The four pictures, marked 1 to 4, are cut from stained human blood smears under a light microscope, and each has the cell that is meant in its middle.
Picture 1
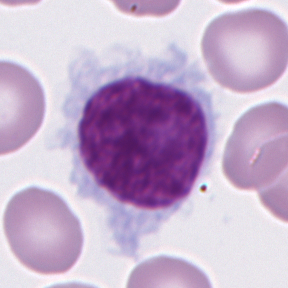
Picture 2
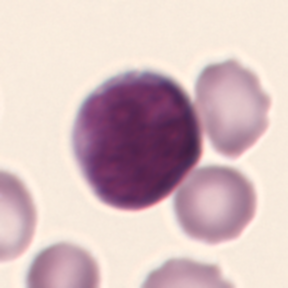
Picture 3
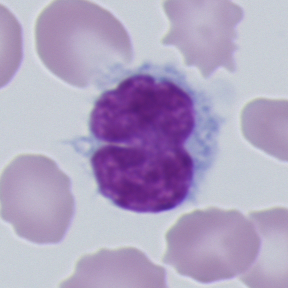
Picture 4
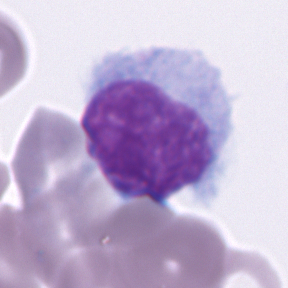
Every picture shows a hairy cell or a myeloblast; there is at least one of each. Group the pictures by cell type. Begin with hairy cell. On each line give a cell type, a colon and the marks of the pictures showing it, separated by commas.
hairy cell: 1, 3, 4
myeloblast: 2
